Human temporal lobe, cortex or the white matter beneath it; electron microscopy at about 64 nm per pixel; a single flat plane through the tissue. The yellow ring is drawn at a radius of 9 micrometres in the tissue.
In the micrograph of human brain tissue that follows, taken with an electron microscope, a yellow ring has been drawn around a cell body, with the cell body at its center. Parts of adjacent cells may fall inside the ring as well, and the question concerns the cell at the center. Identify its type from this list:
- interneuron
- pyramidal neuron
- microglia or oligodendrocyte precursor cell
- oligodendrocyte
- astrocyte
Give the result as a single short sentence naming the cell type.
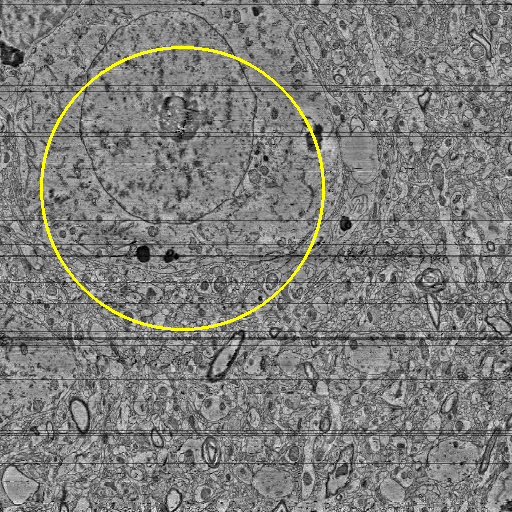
The ring is centered on a pyramidal neuron.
